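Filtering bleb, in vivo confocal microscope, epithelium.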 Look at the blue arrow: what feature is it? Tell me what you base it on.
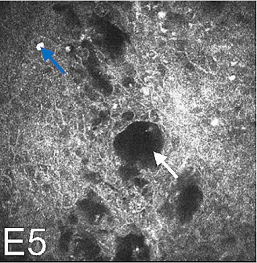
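Hyperreflective dots. A tiny very bright dot at the tip of the blue arrow.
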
